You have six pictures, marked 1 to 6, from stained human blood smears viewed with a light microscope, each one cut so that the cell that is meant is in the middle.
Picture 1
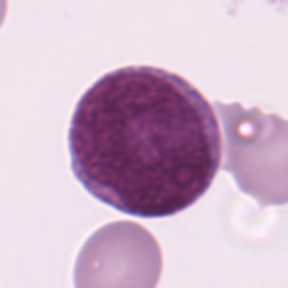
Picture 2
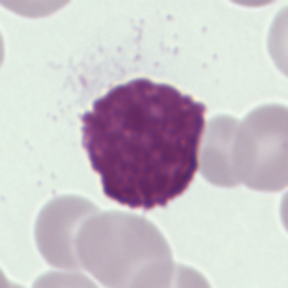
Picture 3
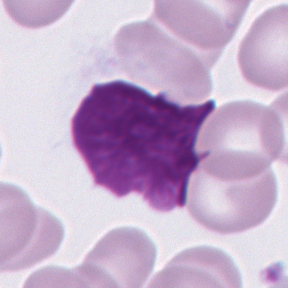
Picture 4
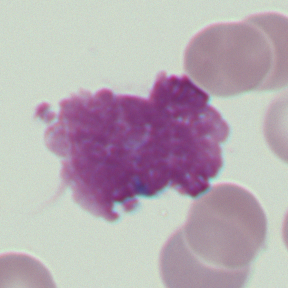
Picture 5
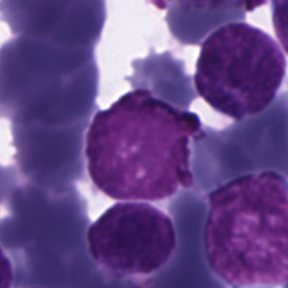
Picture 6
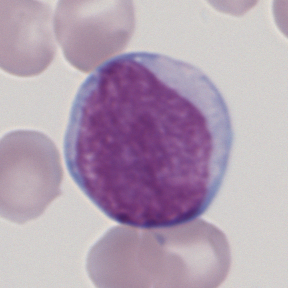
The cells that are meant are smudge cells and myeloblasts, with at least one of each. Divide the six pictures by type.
1: myeloblast
2: smudge cell
3: smudge cell
4: smudge cell
5: myeloblast
6: myeloblast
